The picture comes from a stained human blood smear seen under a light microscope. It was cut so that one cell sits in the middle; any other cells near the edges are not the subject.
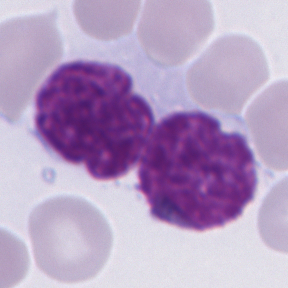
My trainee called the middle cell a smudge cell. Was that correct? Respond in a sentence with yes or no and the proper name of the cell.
No, the cell centered in the crop is a myeloblast, not a smudge cell.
